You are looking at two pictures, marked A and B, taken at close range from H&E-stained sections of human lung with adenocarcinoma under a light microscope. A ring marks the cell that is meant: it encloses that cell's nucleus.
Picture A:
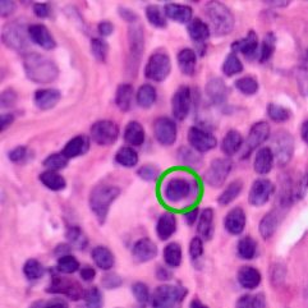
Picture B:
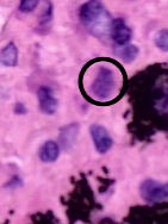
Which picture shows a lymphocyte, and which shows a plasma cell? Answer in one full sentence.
Picture A is of a lymphocyte, and picture B is of a plasma cell.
